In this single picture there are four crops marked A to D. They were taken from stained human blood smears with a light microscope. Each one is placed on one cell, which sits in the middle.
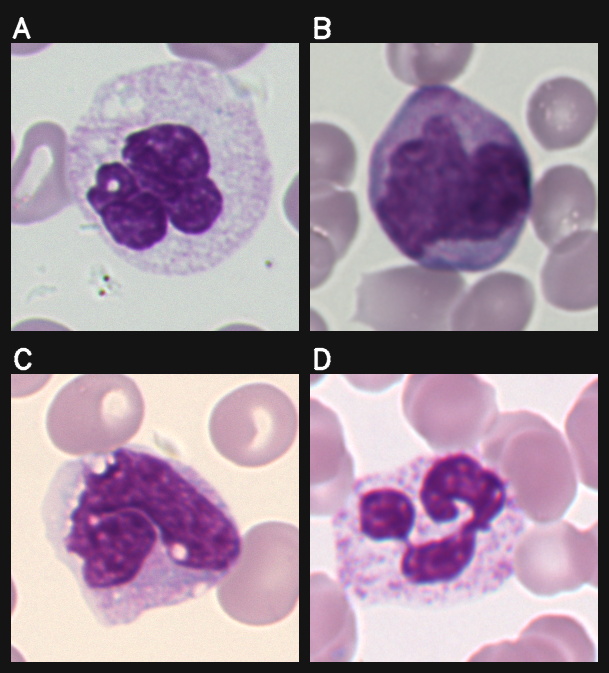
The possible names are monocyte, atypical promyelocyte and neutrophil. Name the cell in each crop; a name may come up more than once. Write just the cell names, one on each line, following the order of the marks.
neutrophil
atypical promyelocyte
monocyte
neutrophil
